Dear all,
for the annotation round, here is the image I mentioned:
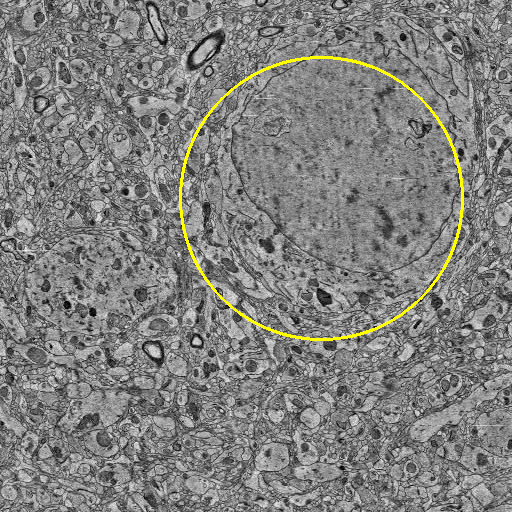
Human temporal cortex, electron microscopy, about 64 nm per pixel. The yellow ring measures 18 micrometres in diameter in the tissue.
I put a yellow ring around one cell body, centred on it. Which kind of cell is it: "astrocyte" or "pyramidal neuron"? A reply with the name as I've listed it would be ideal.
pyramidal neuron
